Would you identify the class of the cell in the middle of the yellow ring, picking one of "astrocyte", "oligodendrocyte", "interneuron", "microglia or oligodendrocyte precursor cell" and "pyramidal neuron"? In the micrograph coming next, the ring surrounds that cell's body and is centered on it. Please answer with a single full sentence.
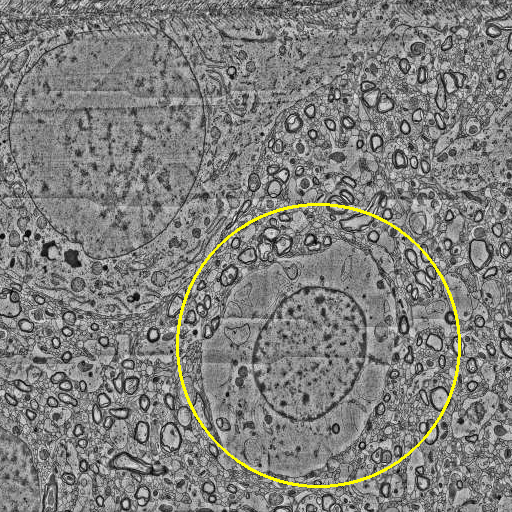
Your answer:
In the micrograph, it is an astrocyte whose body lies at the ring's center.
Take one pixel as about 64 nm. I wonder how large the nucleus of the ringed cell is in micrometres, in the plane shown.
About 9 micrometres by about 7 micrometres in this plane.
